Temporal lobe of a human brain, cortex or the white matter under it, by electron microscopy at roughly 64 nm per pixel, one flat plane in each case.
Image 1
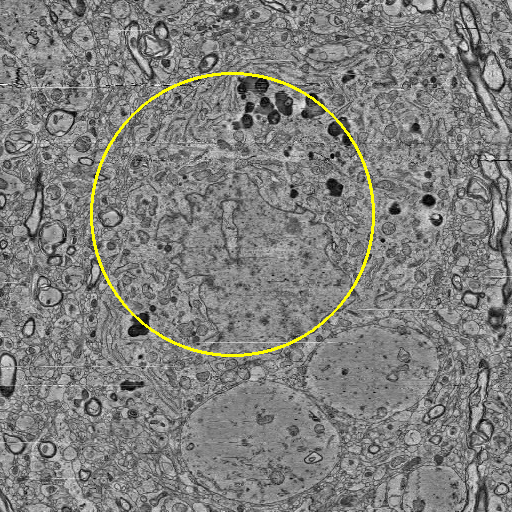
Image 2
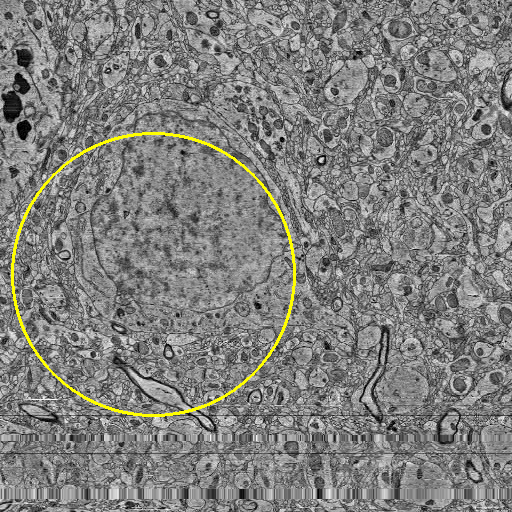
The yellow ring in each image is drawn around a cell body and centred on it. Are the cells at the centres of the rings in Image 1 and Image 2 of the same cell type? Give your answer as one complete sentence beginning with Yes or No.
Yes, both cells are of the same type.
